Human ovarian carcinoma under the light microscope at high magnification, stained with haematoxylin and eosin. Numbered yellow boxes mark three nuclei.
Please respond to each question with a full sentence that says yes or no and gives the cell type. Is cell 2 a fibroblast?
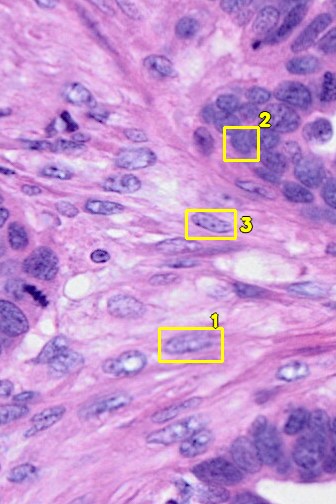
No, number 2 belongs to a carcinoma cell, not to a fibroblast.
